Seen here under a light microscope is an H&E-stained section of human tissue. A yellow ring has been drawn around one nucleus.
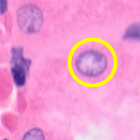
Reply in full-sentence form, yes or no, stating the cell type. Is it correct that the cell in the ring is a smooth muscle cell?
No, in this tissue section, the cell in the ring is not a smooth muscle cell but a proximal tubule cell.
